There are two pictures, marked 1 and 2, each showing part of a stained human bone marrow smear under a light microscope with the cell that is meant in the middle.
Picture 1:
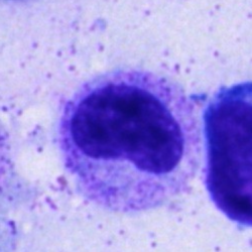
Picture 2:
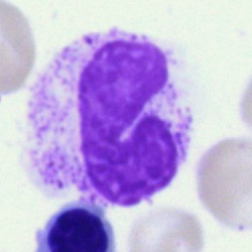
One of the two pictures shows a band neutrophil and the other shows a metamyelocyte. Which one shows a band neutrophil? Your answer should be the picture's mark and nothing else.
2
